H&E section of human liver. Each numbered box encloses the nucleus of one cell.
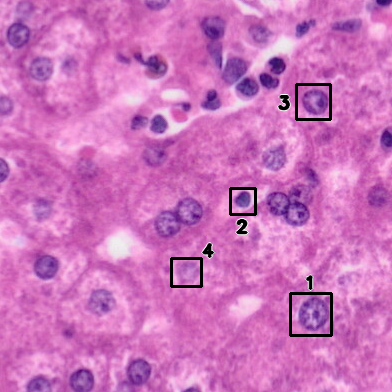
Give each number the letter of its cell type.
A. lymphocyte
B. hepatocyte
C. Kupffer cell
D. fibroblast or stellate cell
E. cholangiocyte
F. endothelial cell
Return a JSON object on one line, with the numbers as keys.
{"1": "B", "2": "A", "3": "B", "4": "B"}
